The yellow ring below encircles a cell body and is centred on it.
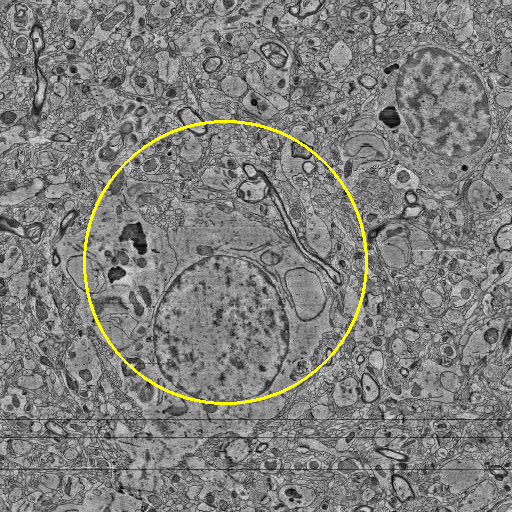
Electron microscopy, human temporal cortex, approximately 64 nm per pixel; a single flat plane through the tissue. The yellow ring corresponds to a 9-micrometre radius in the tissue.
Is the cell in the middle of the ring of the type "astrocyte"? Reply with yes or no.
yes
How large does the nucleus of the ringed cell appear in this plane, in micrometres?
Approximately 9 micrometers across in this plane.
